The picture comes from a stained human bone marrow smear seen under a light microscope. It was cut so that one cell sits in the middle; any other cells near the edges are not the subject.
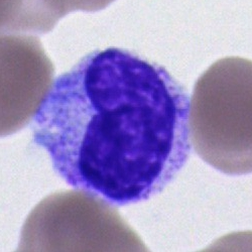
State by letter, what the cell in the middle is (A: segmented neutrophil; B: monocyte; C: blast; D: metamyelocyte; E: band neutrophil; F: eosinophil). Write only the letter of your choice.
D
